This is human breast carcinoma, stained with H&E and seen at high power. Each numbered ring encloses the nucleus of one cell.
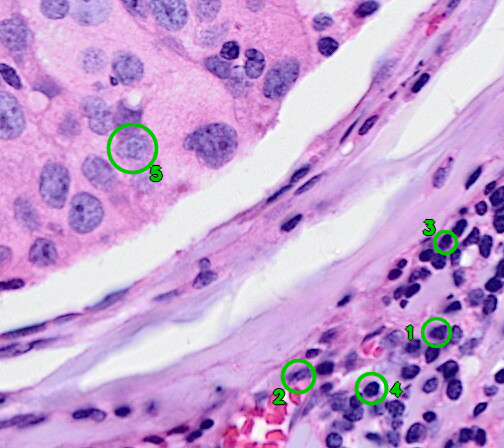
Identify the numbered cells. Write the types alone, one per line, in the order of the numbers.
lymphocyte
endothelial cell
lymphocyte
lymphocyte
carcinoma cell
